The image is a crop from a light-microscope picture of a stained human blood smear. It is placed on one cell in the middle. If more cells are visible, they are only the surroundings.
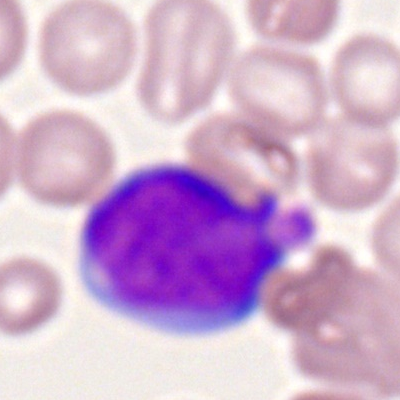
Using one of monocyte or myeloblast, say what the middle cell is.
myeloblast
